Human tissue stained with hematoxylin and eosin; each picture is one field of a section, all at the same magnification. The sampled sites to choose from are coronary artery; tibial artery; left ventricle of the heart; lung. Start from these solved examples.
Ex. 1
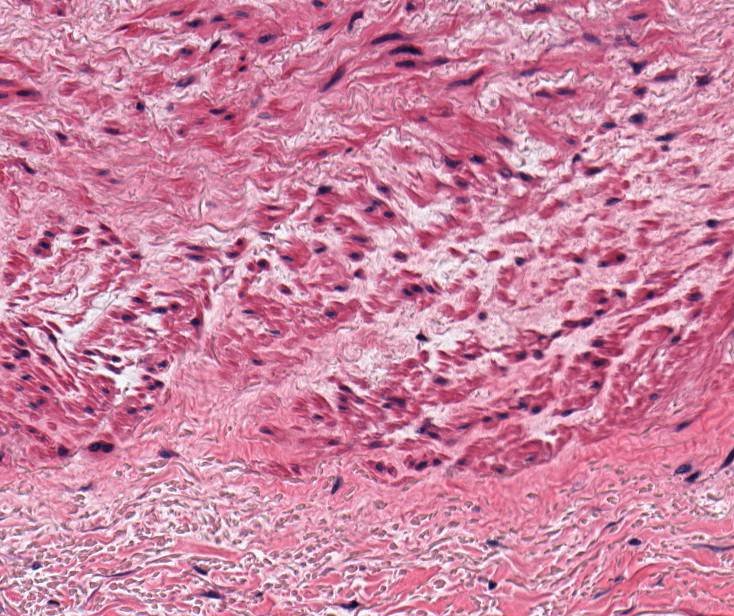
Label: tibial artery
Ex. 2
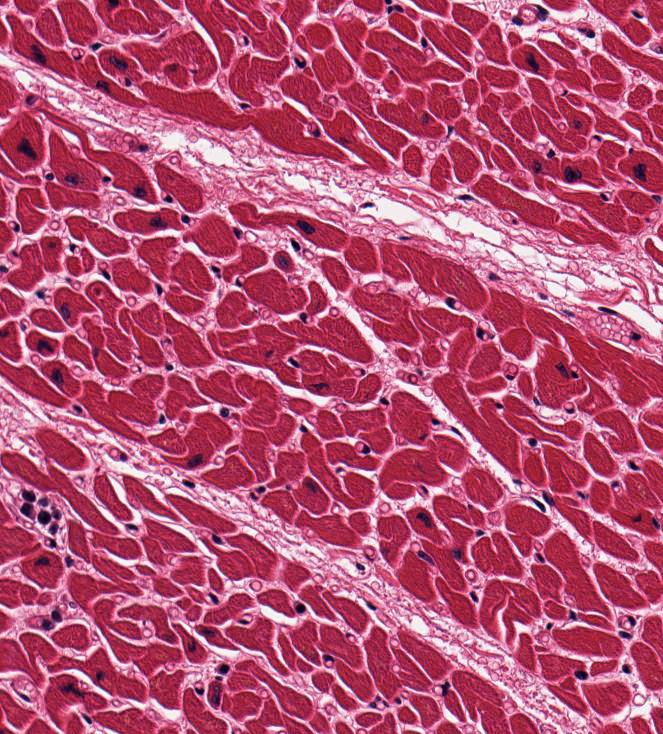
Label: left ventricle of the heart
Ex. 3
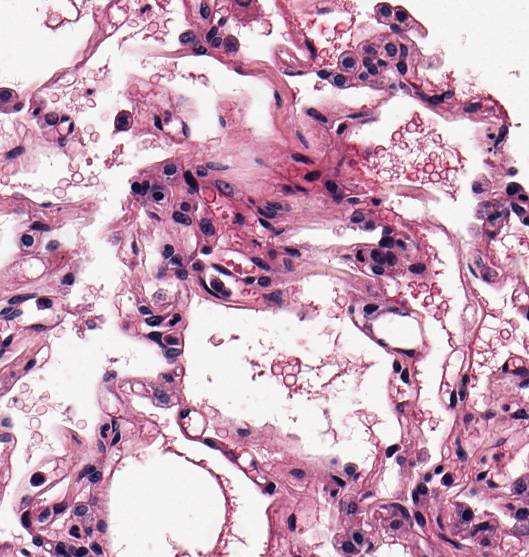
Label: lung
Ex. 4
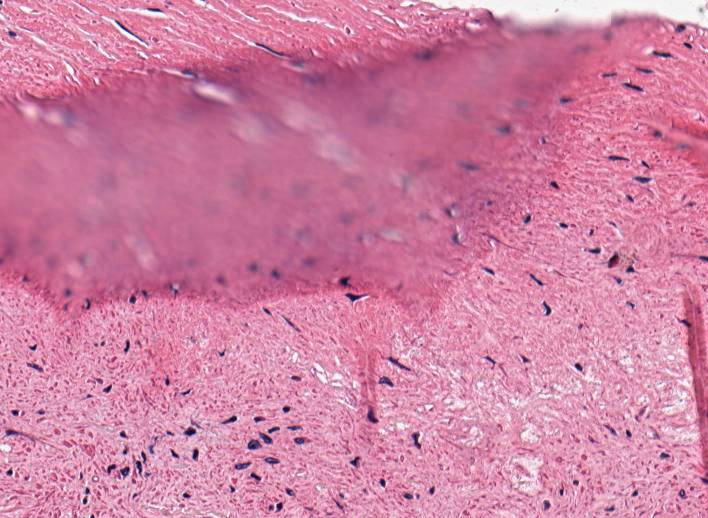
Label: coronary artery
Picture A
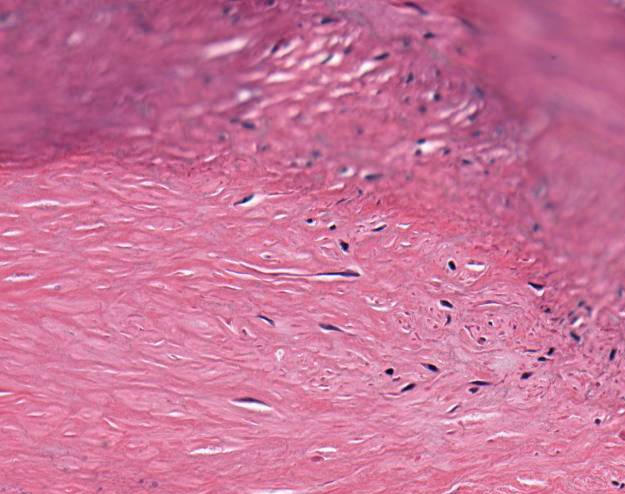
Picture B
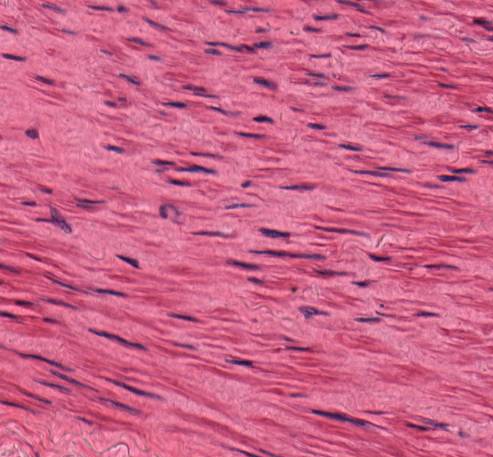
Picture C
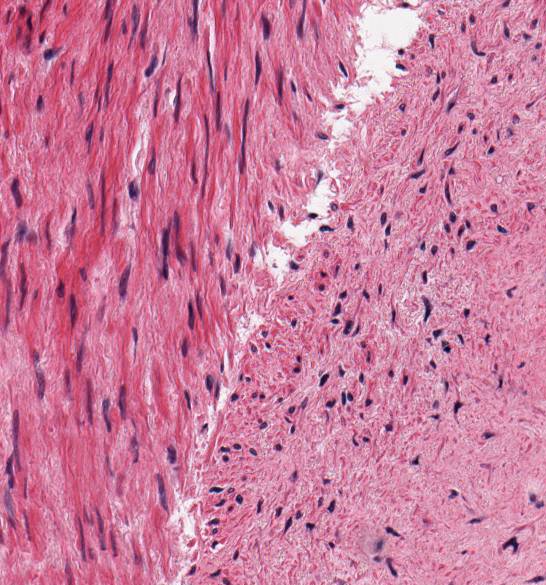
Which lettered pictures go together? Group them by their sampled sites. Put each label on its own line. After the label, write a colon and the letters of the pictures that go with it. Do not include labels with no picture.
coronary artery: A, C
tibial artery: B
